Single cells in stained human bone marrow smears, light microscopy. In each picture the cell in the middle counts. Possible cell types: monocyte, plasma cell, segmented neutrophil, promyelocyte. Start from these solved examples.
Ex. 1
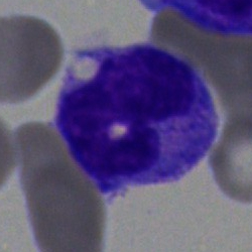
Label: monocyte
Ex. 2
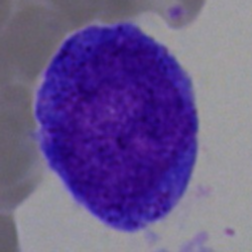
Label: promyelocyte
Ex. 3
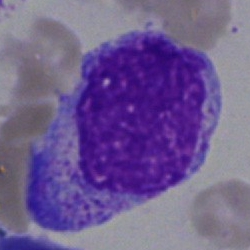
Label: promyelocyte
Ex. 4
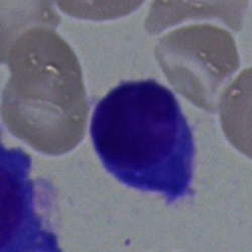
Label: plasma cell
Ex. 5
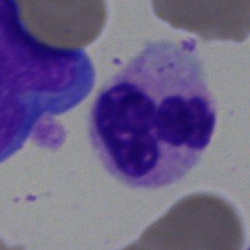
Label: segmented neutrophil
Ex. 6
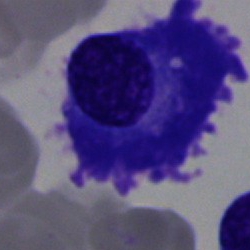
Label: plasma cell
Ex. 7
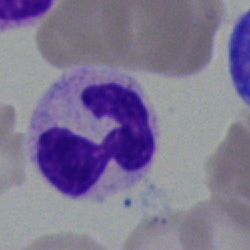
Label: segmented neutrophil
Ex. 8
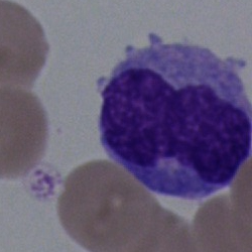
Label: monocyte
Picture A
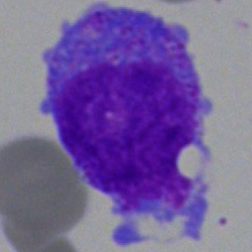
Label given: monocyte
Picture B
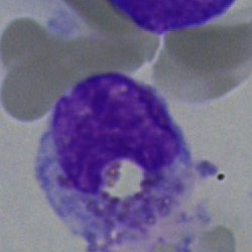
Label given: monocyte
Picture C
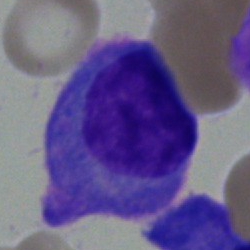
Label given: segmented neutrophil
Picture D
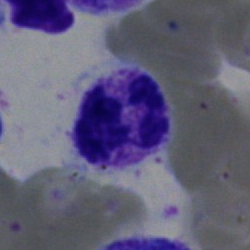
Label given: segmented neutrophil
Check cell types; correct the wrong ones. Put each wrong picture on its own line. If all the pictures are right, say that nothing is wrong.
C should be plasma cell, not segmented neutrophil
